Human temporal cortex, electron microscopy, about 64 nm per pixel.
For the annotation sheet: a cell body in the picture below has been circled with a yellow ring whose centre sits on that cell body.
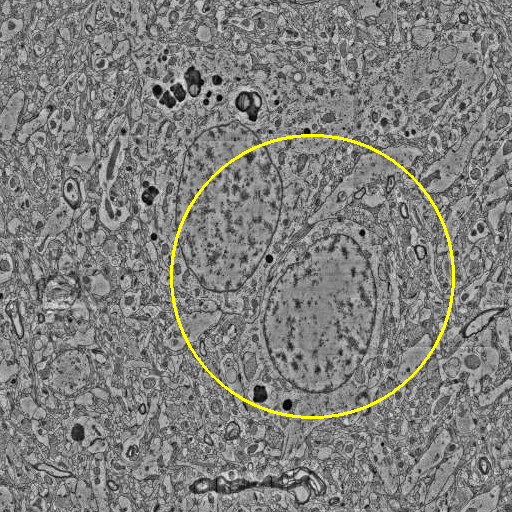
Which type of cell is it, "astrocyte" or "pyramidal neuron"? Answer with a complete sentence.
The circled cell is a pyramidal neuron.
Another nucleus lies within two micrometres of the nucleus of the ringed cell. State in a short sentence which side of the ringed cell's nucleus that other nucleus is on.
That other nucleus lies to the upper left of it.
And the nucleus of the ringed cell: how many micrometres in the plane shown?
Approximately 10 x 7 micrometres in this plane.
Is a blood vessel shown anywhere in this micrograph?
No.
